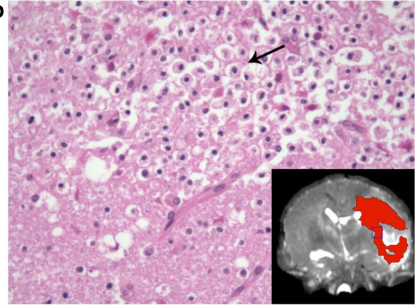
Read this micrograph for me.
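This is necrotic brain tissue taken over by sheets of gitter cells, foamy macrophages. The field is crowded with rounded cells whose cytoplasm is pale and bubbly or clear, each with a small, dark, round nucleus, so that they resemble a honeycomb of pale cells. Normal neuropil structure is lost; in the lower part the tissue is paler and looser with a few larger clear holes.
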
